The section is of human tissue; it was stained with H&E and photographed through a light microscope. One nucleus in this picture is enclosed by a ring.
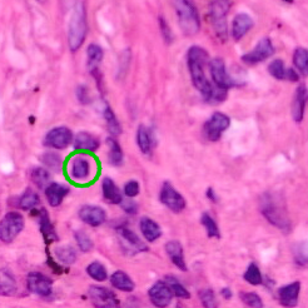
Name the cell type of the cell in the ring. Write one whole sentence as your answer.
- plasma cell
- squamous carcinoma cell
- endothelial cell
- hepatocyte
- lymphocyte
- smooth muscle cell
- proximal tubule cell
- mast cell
It is as a lymphocyte that the cell in the ring is recorded.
